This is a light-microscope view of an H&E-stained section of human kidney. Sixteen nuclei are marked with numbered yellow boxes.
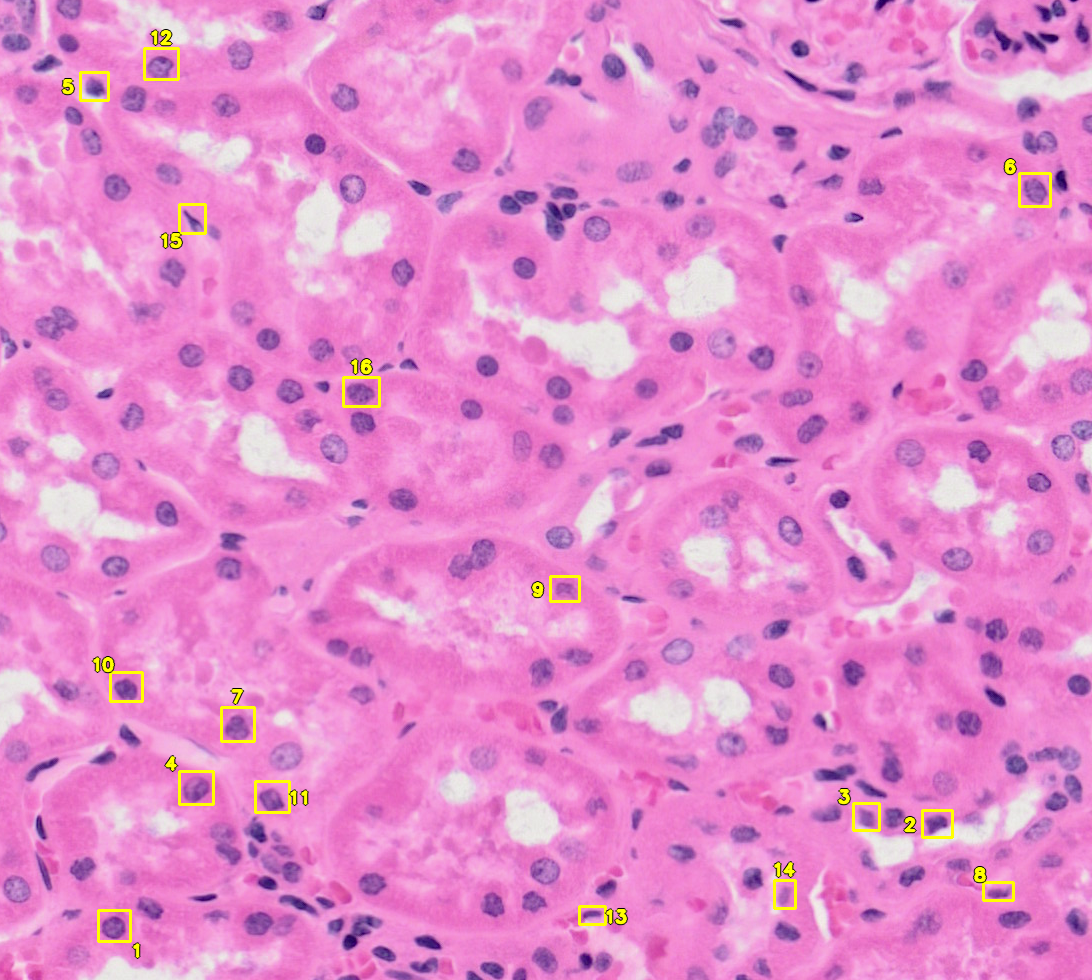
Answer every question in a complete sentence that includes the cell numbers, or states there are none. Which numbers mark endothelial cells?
The cells whose numbers are 5, 8, 13 and 15 are endothelial cells.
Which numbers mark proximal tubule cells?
The cells with the numbers 1, 4, 6, 7, 9, 10, 11, 12 and 16 are proximal tubule cells.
